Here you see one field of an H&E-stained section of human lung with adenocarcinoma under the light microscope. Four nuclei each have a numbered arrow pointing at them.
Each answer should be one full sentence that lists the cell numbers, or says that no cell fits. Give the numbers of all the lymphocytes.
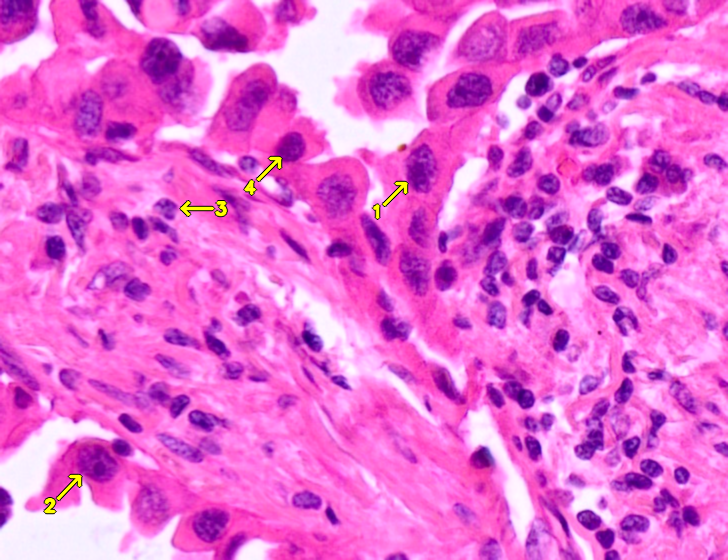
Of the marked cells, the one numbered 3 is a lymphocyte and the rest are not.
